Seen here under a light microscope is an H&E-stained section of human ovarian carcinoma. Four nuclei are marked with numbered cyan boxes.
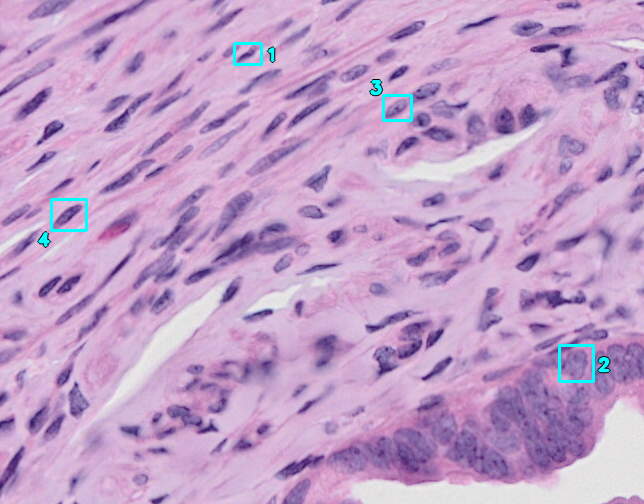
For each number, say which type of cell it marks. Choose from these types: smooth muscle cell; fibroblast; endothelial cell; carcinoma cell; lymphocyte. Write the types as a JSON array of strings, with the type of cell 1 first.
["smooth muscle cell", "carcinoma cell", "smooth muscle cell", "smooth muscle cell"]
